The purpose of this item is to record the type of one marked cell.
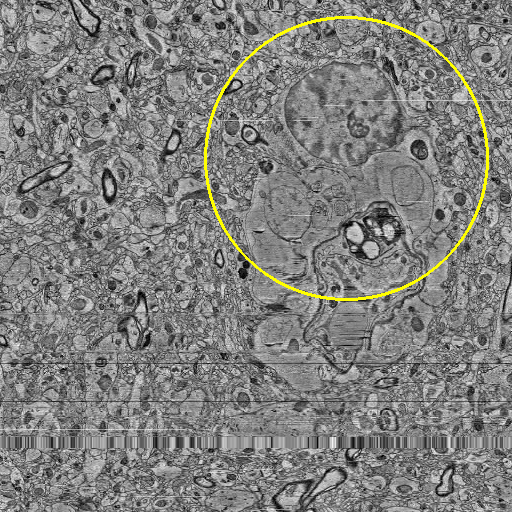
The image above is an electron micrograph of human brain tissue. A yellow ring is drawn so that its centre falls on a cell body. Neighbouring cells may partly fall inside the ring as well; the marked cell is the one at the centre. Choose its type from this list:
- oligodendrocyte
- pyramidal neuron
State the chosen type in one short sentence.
What the ring marks here is an oligodendrocyte.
